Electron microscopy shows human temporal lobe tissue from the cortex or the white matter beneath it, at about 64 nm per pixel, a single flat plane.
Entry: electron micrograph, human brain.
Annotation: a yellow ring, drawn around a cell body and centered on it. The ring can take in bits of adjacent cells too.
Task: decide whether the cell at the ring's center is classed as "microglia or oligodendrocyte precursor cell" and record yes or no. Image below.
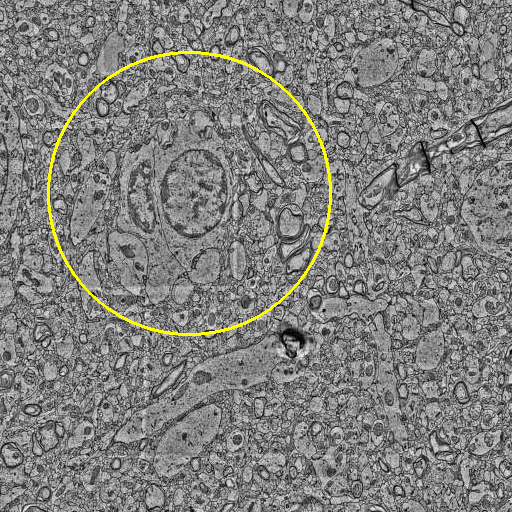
yes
